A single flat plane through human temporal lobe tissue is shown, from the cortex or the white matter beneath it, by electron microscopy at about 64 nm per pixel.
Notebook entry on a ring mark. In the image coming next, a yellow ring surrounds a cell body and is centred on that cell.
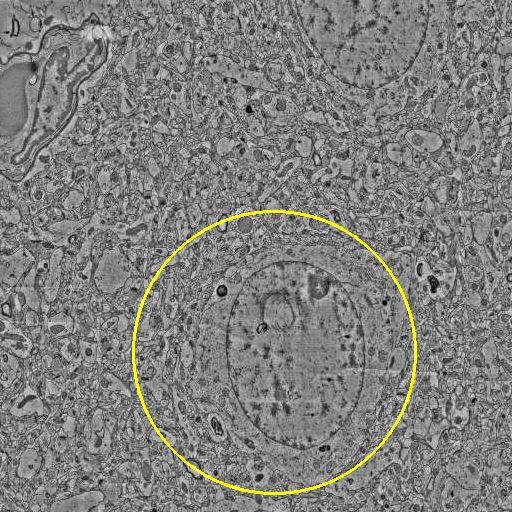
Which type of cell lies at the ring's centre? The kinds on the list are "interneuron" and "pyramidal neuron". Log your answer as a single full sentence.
Centred in the yellow ring is a pyramidal neuron, the cell recorded for this image.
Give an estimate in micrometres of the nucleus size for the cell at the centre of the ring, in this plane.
About 12 by 9 micrometres in this plane.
